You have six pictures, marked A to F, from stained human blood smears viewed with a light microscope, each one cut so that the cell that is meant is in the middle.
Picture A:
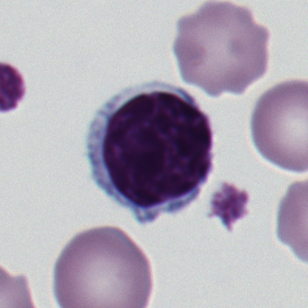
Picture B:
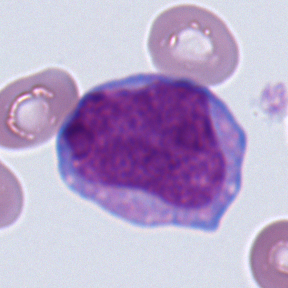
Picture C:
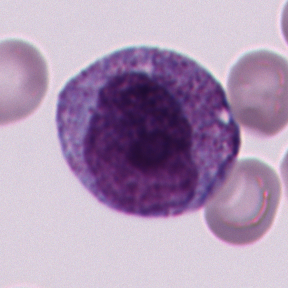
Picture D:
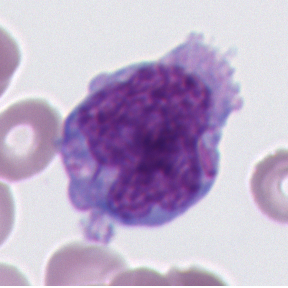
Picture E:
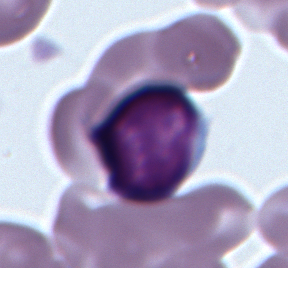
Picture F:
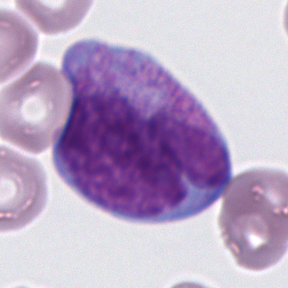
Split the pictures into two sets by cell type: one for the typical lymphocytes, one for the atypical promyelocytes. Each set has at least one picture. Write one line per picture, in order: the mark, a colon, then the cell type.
A: typical lymphocyte
B: atypical promyelocyte
C: atypical promyelocyte
D: atypical promyelocyte
E: typical lymphocyte
F: atypical promyelocyte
